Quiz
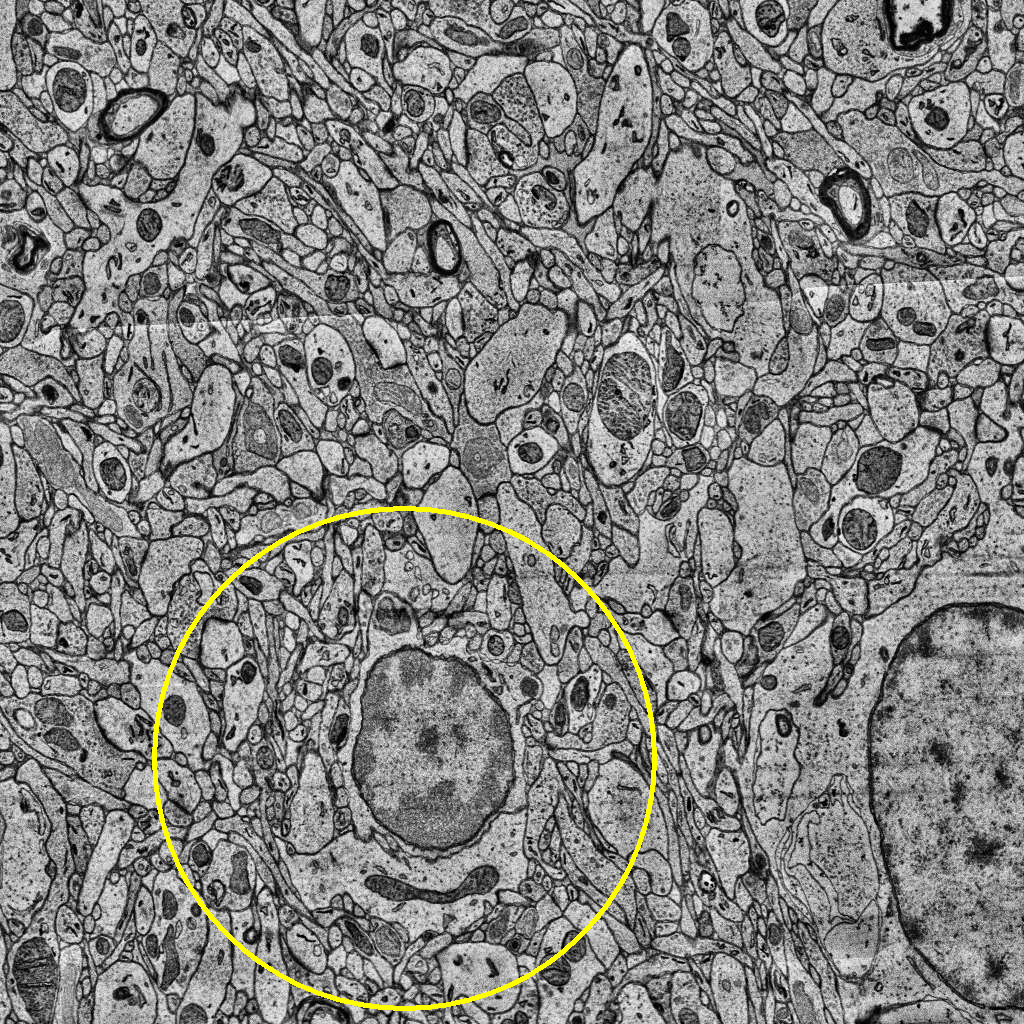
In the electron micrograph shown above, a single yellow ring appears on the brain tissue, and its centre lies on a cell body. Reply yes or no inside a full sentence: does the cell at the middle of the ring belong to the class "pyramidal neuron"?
No, the cell lying at the ring's centre in the picture belongs to a different class.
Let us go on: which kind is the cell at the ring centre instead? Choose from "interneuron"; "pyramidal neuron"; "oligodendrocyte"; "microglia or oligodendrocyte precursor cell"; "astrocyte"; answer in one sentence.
At the centre of the ring sits a microglial cell or oligodendrocyte precursor cell.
